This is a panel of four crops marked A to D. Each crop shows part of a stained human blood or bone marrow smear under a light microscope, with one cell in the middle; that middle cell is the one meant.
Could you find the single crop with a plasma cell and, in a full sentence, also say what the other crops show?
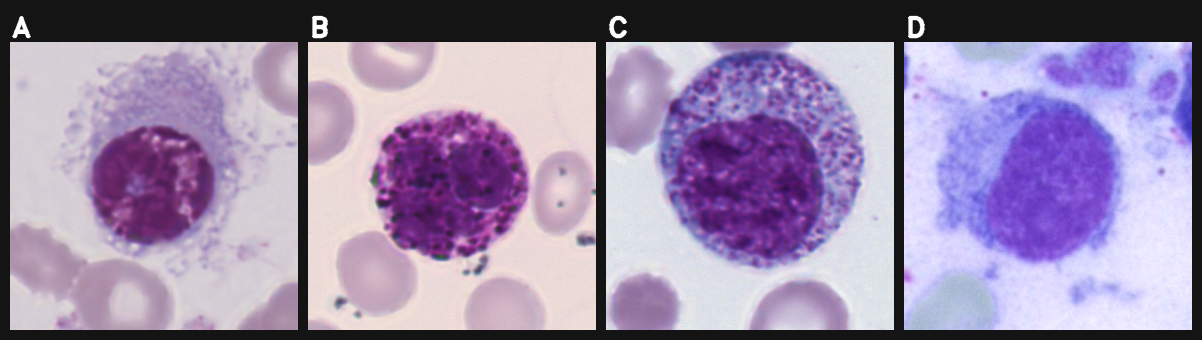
In the crop designated A, the cell is a plasma cell, while crop B is a basophil, crop C is a promyelocyte and crop D is a hairy cell.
